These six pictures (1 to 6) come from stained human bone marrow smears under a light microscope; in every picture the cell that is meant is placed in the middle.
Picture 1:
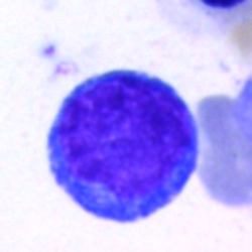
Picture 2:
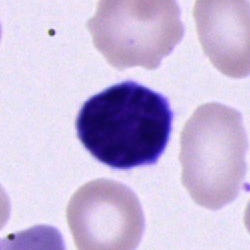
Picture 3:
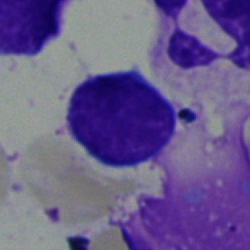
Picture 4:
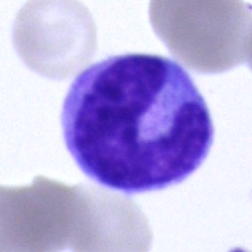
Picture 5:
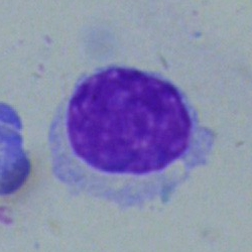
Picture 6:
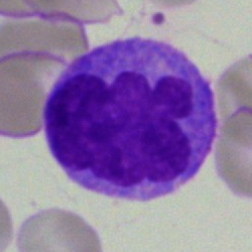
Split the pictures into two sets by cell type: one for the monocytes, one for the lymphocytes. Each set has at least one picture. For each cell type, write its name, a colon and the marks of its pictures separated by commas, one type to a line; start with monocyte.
monocyte: 4, 6
lymphocyte: 1, 2, 3, 5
